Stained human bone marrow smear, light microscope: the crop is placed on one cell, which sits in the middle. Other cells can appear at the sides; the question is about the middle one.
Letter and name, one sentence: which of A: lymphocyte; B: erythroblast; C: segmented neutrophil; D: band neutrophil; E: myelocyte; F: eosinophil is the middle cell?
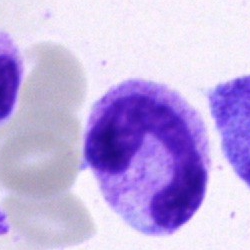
Option D correctly states that the central cell is a band neutrophil.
